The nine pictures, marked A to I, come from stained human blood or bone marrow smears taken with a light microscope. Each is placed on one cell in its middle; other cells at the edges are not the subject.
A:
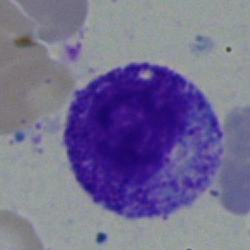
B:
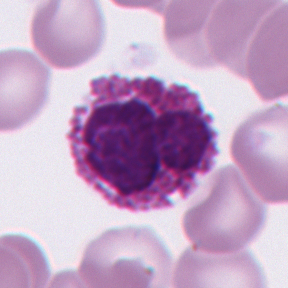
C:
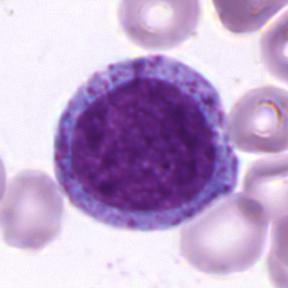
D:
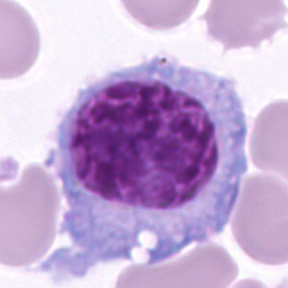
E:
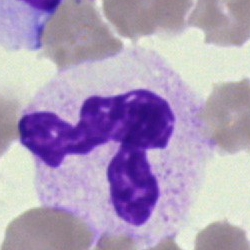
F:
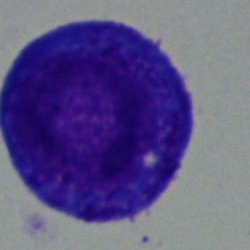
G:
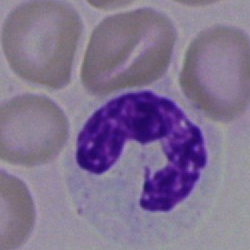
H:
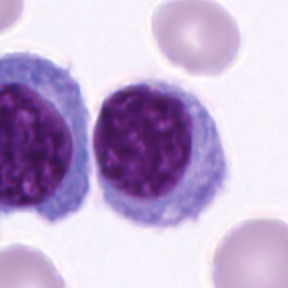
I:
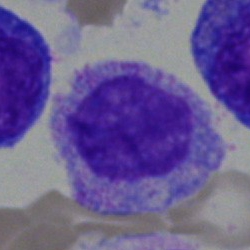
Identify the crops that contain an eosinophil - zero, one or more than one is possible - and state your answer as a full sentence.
In this set, an eosinophil is present only in crop B.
